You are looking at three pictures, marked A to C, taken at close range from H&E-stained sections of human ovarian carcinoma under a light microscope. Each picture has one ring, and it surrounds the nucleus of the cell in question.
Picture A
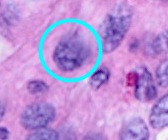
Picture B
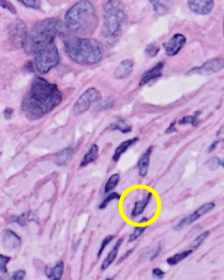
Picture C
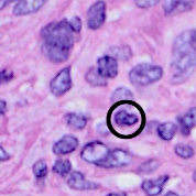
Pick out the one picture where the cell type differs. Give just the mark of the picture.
C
